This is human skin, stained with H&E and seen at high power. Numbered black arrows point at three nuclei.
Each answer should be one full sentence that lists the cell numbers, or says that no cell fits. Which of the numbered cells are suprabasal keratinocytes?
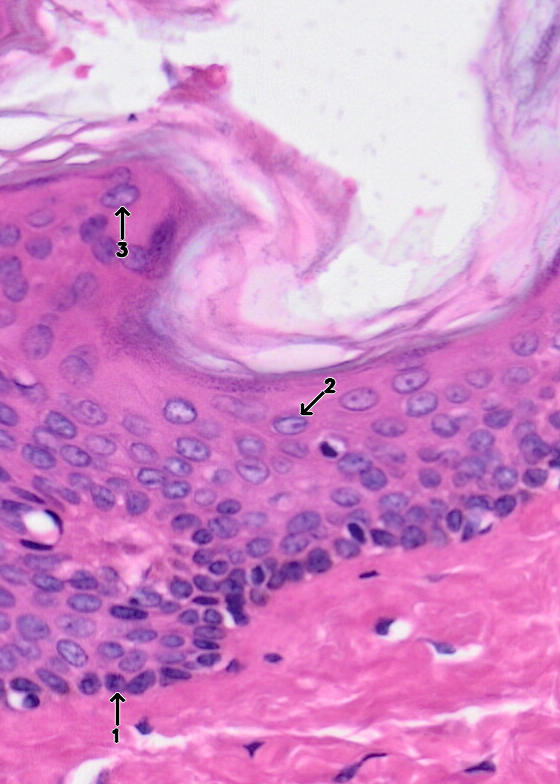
In this section, the cells labelled 2 and 3 are suprabasal keratinocytes.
